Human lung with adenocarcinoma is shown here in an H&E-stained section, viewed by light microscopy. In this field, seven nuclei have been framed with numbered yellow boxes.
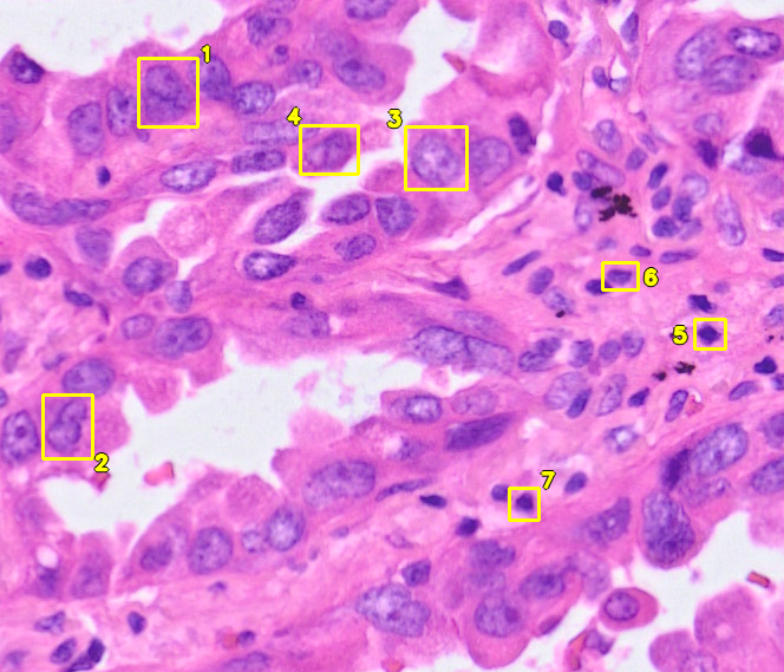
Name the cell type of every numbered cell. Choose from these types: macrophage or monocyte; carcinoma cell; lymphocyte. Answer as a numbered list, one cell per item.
1. carcinoma cell
2. carcinoma cell
3. carcinoma cell
4. carcinoma cell
5. lymphocyte
6. lymphocyte
7. lymphocyte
